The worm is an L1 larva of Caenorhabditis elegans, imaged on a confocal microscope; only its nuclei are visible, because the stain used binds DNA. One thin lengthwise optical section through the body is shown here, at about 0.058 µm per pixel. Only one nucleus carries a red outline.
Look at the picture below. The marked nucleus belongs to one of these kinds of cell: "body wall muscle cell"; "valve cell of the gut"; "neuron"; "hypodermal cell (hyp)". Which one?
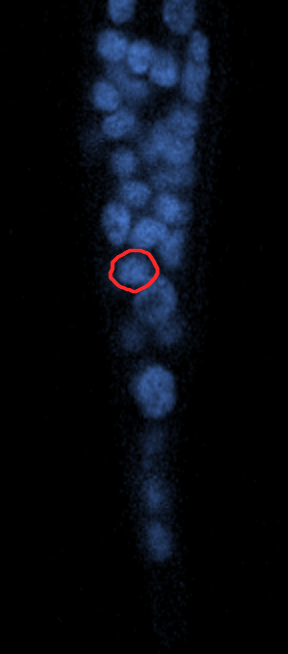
neuron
